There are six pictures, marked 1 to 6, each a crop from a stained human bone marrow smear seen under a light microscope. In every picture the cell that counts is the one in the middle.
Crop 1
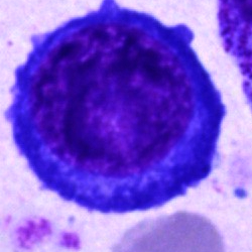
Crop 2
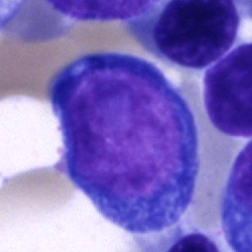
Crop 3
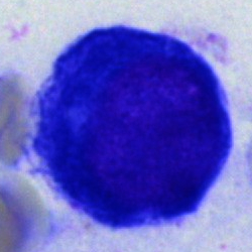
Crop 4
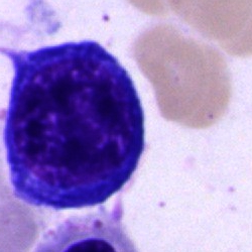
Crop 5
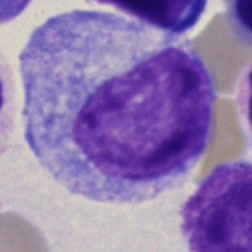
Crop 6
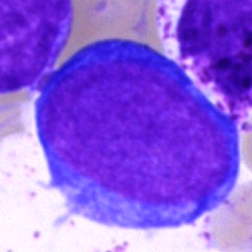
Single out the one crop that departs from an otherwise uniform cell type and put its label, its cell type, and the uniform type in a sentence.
The exception in this group is crop 5, a promyelocyte, and the others are all proerythroblasts.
